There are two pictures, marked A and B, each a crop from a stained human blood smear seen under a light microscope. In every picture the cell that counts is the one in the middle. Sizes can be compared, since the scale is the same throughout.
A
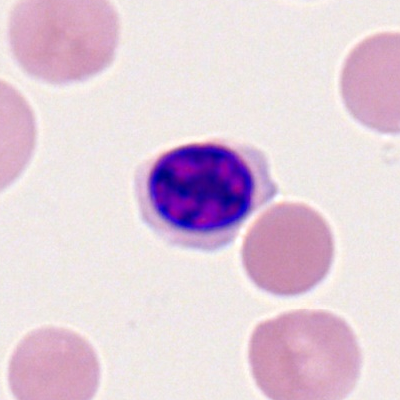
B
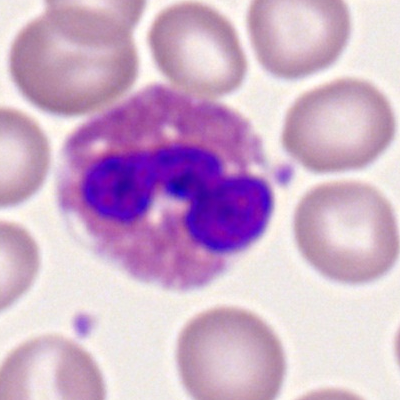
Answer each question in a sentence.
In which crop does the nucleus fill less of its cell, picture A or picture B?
Of the two, the nucleus in picture B leaves more room for cytoplasm.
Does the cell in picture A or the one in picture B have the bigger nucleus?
The nucleus in picture B is larger, with about 1.5 times the area of the one in picture A.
